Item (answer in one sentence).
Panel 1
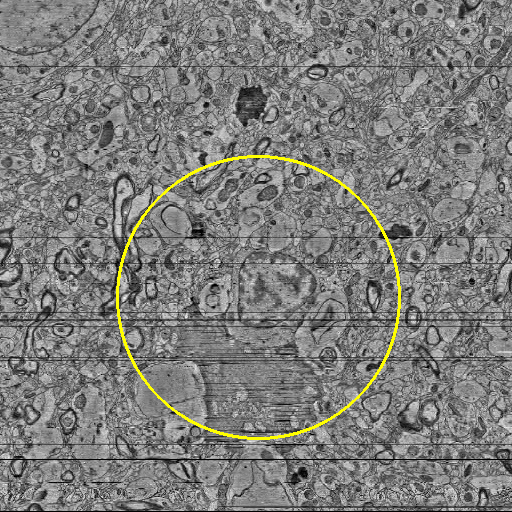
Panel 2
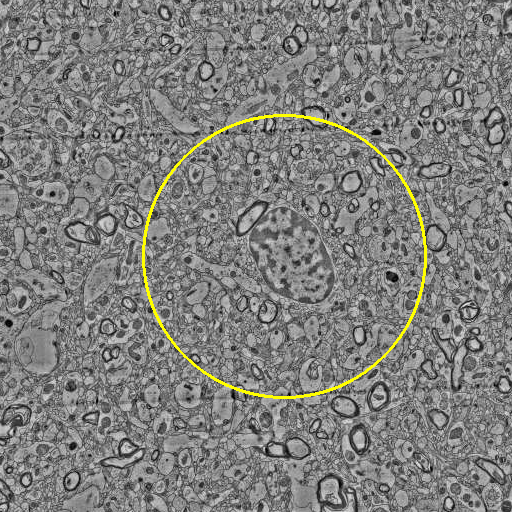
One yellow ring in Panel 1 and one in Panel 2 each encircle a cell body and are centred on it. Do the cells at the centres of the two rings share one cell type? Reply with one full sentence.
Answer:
No, Panel 1 and Panel 2 show cells of two types at the centres of their rings.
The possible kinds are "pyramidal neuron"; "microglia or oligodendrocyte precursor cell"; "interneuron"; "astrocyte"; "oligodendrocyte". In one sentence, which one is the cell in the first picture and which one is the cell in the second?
The cell ringed in the second picture is a microglial cell or oligodendrocyte precursor cell, whereas the one ringed in the first is an oligodendrocyte.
